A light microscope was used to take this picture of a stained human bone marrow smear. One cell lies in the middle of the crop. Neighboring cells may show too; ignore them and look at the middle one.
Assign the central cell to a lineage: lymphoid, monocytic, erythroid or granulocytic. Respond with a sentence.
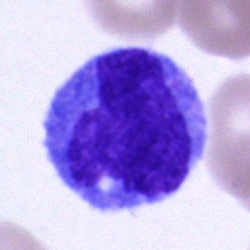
The centered cell here is of monocytic lineage.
